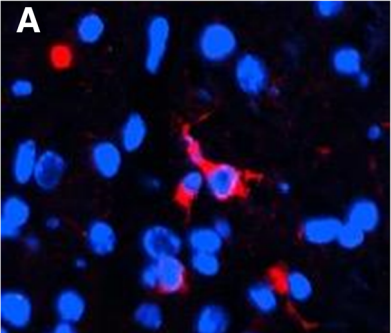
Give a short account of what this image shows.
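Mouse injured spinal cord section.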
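The blue nuclei are round to oval and scattered fairly evenly, with some smaller and some larger, elongated ones. At the upper left there is a small compact red spot that has no blue nucleus beneath it. Most of the nuclei in the field lack any red around them, so the labelled cells are sparse.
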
